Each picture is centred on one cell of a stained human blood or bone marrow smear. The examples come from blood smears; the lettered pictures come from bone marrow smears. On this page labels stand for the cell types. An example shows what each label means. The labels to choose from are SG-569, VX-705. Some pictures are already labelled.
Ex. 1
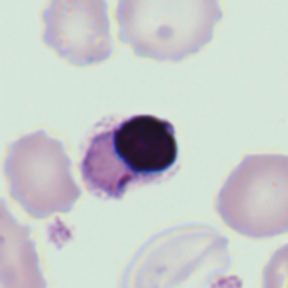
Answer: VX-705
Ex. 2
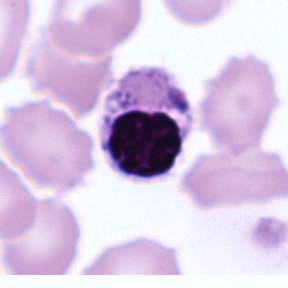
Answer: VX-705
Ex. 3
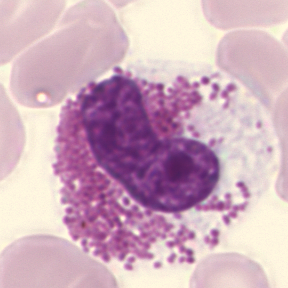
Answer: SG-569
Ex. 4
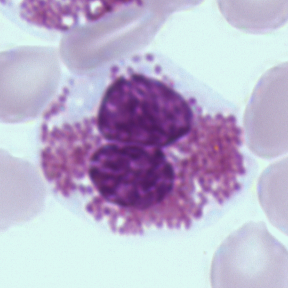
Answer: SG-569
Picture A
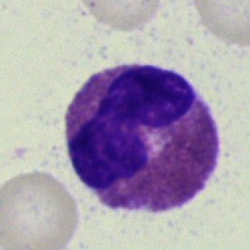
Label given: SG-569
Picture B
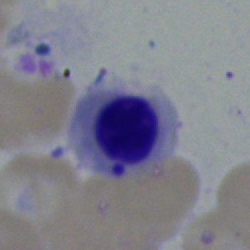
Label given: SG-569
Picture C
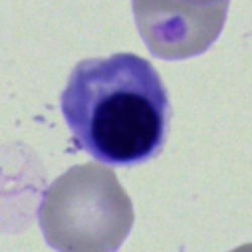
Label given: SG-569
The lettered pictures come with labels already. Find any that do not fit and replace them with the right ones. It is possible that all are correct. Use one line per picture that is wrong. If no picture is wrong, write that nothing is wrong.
B: not SG-569 but VX-705
C: not SG-569 but VX-705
